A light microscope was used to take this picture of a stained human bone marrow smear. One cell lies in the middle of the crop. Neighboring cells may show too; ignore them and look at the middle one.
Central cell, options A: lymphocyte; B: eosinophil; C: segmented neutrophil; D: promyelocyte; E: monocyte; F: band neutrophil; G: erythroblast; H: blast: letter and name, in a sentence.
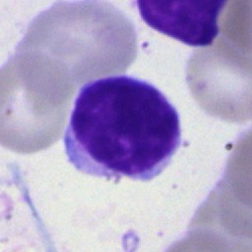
Option A is right in identifying the central cell as a lymphocyte.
